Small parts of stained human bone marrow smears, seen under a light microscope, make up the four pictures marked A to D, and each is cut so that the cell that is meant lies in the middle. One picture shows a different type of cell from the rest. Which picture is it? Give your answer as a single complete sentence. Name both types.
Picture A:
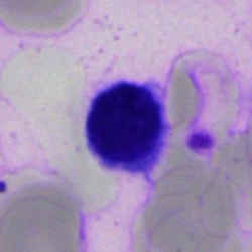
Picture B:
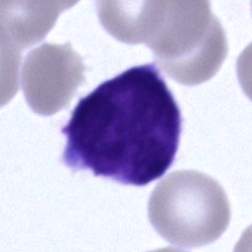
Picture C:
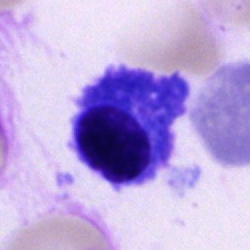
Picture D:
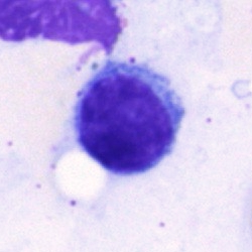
The others show lymphocytes, but picture C shows a plasma cell.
